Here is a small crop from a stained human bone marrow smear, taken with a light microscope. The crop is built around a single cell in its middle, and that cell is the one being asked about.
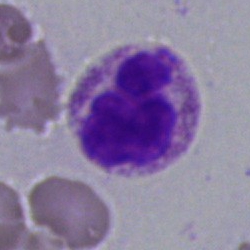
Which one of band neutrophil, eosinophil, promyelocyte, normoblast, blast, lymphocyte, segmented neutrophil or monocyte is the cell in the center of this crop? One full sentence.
Framed in the middle of the crop is an eosinophil.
